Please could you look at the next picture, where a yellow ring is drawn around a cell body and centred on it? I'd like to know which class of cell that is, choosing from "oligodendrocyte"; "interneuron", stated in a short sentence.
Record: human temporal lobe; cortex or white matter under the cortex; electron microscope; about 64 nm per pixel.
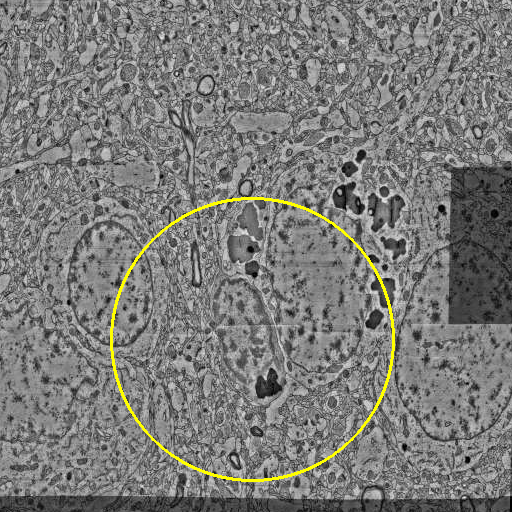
The ring's centre lies on an oligodendrocyte.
